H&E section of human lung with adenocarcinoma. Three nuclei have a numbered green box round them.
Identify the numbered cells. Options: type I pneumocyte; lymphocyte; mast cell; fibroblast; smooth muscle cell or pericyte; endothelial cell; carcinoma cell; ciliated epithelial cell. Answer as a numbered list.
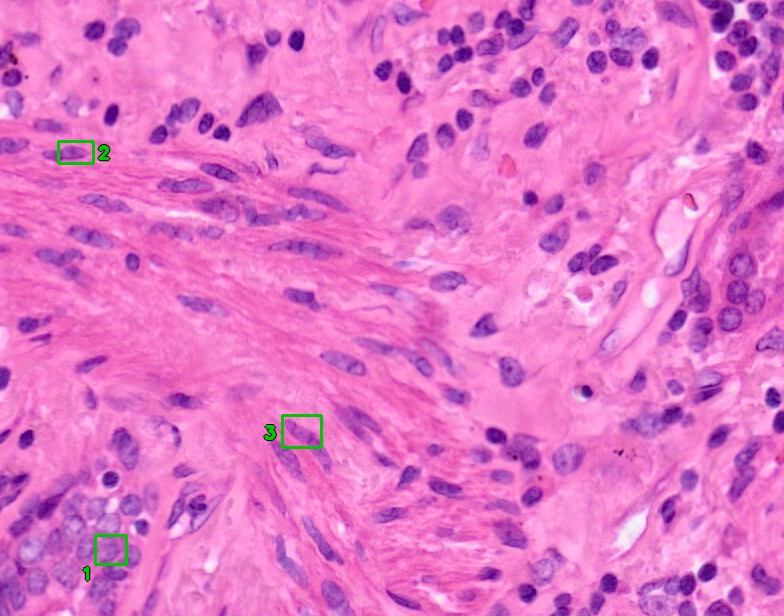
1. ciliated epithelial cell
2. smooth muscle cell or pericyte
3. smooth muscle cell or pericyte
